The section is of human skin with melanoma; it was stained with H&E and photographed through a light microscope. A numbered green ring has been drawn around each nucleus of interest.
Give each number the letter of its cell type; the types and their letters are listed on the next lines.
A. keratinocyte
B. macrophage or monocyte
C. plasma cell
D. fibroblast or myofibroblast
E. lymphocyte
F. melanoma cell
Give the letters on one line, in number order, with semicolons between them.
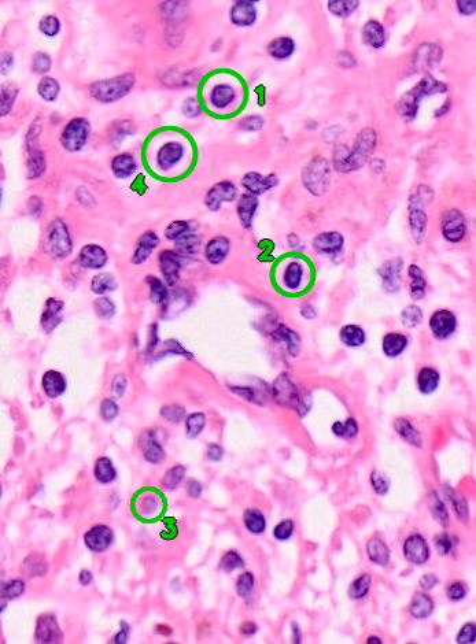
E; E; B; E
